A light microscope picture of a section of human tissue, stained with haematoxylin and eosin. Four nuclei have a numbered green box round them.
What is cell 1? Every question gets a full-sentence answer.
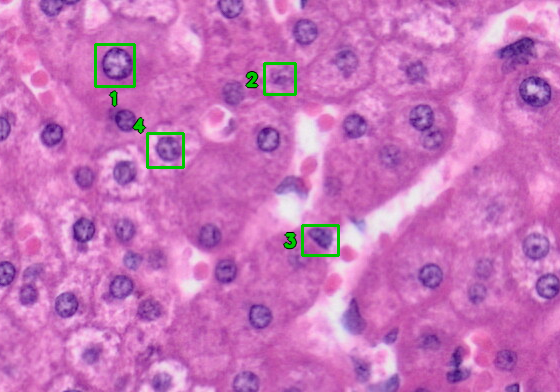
The cell referred to as 1 is a hepatocyte.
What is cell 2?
The cell referred to as 2 is a hepatocyte.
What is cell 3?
The one labeled 3 is a fibroblast or stellate cell, to put it simply.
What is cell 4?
The cell that is numbered 4 is a hepatocyte.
